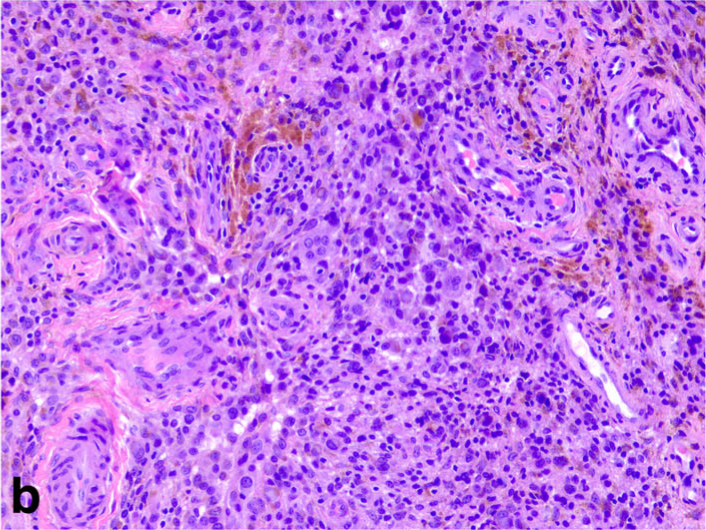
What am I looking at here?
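This high-power field shows a dense cellular lesion made mostly of mononuclear cells with single round to oval, dark purple nuclei and pink cytoplasm. Scattered thick-walled small blood vessels with pink hyalinized walls and narrow lumina run through the field. Clusters of golden-brown granular hemosiderin pigment are deposited between the cells, most densely in the upper part of the field.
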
